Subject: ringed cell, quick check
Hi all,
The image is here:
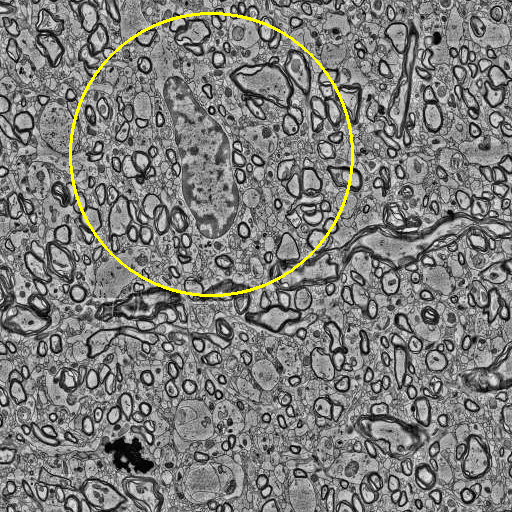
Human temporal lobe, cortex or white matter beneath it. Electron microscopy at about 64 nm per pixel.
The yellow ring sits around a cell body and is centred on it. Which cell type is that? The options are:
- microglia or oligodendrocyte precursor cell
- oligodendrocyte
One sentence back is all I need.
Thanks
That ringed cell is a microglial cell or oligodendrocyte precursor cell.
